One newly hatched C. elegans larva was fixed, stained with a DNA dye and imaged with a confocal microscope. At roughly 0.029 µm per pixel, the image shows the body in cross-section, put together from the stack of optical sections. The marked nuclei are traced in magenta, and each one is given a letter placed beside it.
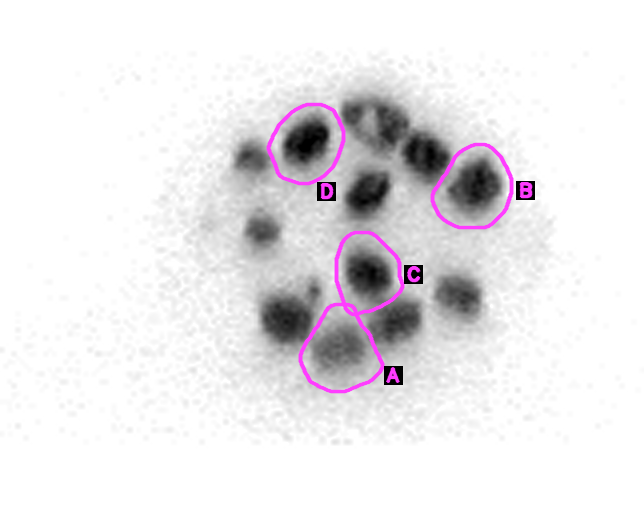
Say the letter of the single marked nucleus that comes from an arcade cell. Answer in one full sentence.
D is the nucleus of an arcade cell.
